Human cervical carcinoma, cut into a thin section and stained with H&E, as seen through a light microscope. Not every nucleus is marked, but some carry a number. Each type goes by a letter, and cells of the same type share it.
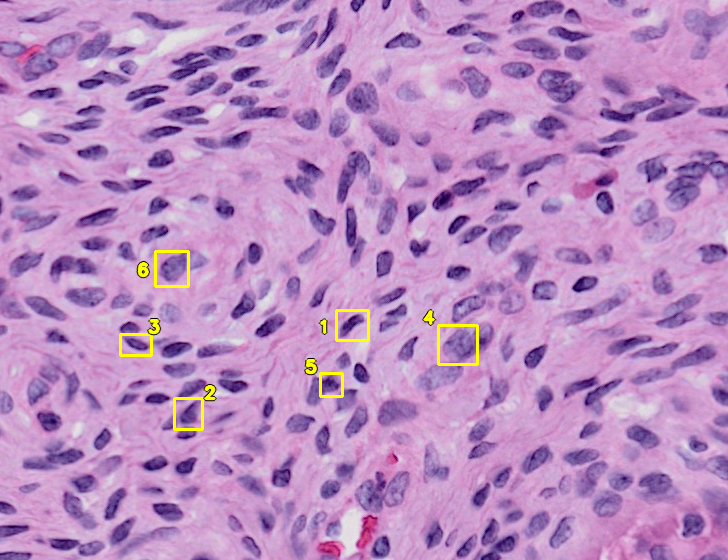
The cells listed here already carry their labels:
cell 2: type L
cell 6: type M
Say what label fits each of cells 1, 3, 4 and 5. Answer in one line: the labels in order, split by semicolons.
type L; type L; type M; type L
